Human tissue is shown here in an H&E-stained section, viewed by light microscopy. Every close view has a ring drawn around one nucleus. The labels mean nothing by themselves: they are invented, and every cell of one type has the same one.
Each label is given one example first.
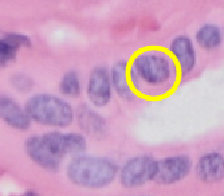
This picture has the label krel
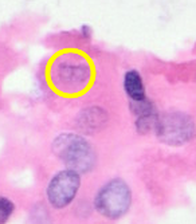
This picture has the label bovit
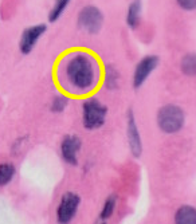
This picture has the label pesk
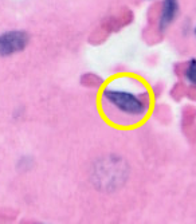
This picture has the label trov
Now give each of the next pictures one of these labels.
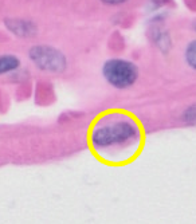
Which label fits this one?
pesk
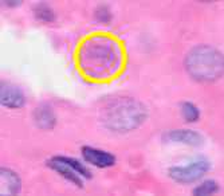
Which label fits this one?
pesk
